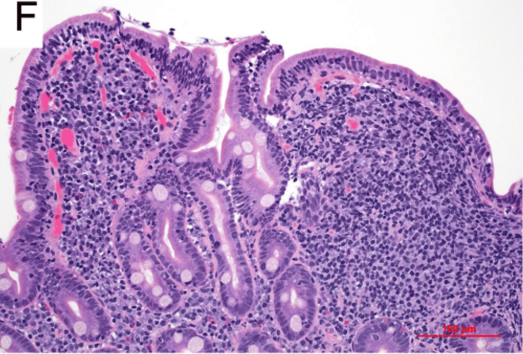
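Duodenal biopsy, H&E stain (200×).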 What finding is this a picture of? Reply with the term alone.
Partial villous atrophy.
